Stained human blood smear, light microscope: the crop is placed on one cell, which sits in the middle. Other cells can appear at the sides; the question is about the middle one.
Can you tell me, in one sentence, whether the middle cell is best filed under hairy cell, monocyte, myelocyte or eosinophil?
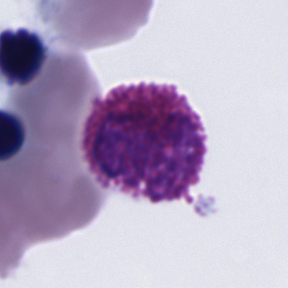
In the crop, the cell of interest at the centre is an eosinophil.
